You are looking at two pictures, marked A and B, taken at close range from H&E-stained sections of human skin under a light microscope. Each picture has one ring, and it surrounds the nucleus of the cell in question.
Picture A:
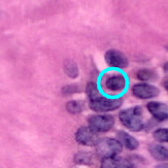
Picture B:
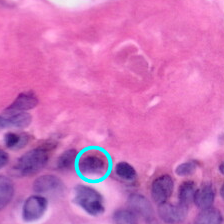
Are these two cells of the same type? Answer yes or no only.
yes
